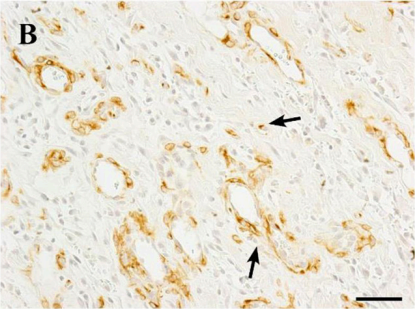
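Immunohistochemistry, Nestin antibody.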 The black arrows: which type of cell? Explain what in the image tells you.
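Brown-stained cells line the walls of small round and oval channels with open lumens. The stained cells are flat and thin, wrapping around the channels. Unstained cells with pale nuclei fill the tissue between the channels. On this evidence: endothelial cells.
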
